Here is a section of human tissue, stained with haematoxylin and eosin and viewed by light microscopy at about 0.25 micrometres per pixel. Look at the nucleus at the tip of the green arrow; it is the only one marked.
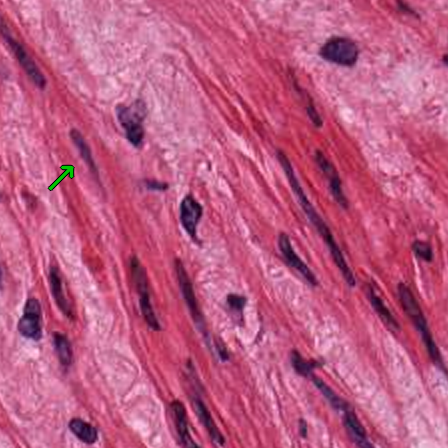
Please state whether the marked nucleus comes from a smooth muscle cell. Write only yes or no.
yes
